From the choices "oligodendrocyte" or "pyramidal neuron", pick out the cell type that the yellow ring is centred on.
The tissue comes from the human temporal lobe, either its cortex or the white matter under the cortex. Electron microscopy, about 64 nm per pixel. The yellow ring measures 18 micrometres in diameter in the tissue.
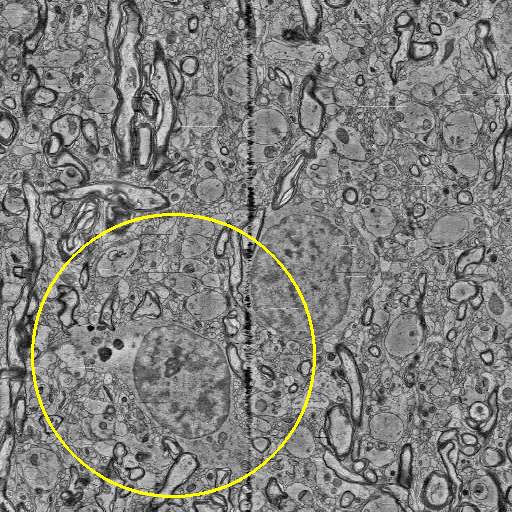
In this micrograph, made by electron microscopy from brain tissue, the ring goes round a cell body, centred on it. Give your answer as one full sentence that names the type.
The yellow ring is centred on an oligodendrocyte, whose cell body it encircles in the picture.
